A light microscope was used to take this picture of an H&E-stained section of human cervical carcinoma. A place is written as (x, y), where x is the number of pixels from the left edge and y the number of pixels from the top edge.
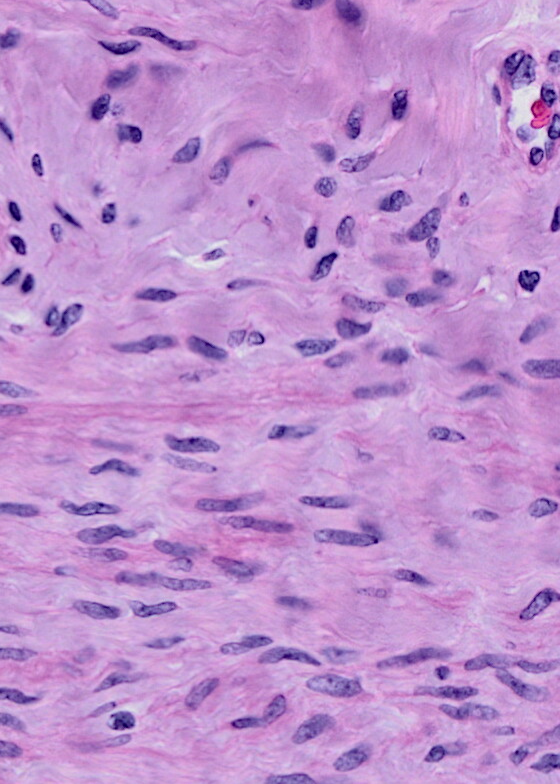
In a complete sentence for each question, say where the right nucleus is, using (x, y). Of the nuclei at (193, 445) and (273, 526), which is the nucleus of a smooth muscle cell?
Of the two nuclei present, the one at (273, 526) is within a smooth muscle cell.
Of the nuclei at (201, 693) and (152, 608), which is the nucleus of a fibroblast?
It is the nucleus at (152, 608), not the other one, that belongs to a fibroblast.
